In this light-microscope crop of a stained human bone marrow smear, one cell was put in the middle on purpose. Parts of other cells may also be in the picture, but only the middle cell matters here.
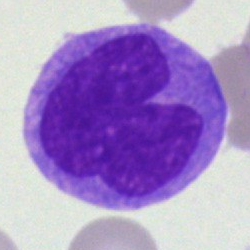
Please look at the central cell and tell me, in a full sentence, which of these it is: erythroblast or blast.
Here the centrally located cell is a blast.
